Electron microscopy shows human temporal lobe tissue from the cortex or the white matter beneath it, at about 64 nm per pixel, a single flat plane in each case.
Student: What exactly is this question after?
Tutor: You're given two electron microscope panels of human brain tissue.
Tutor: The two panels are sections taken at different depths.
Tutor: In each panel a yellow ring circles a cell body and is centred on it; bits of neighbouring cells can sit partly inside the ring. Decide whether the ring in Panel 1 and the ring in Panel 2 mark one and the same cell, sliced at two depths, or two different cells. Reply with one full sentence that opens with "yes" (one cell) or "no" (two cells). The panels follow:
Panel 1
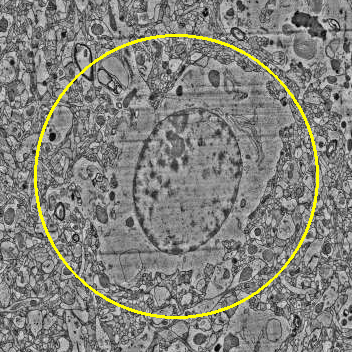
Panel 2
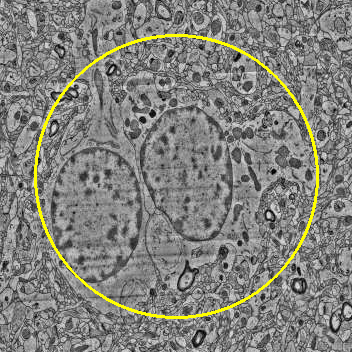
No, the two rings outline two separate cells in this micrograph.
